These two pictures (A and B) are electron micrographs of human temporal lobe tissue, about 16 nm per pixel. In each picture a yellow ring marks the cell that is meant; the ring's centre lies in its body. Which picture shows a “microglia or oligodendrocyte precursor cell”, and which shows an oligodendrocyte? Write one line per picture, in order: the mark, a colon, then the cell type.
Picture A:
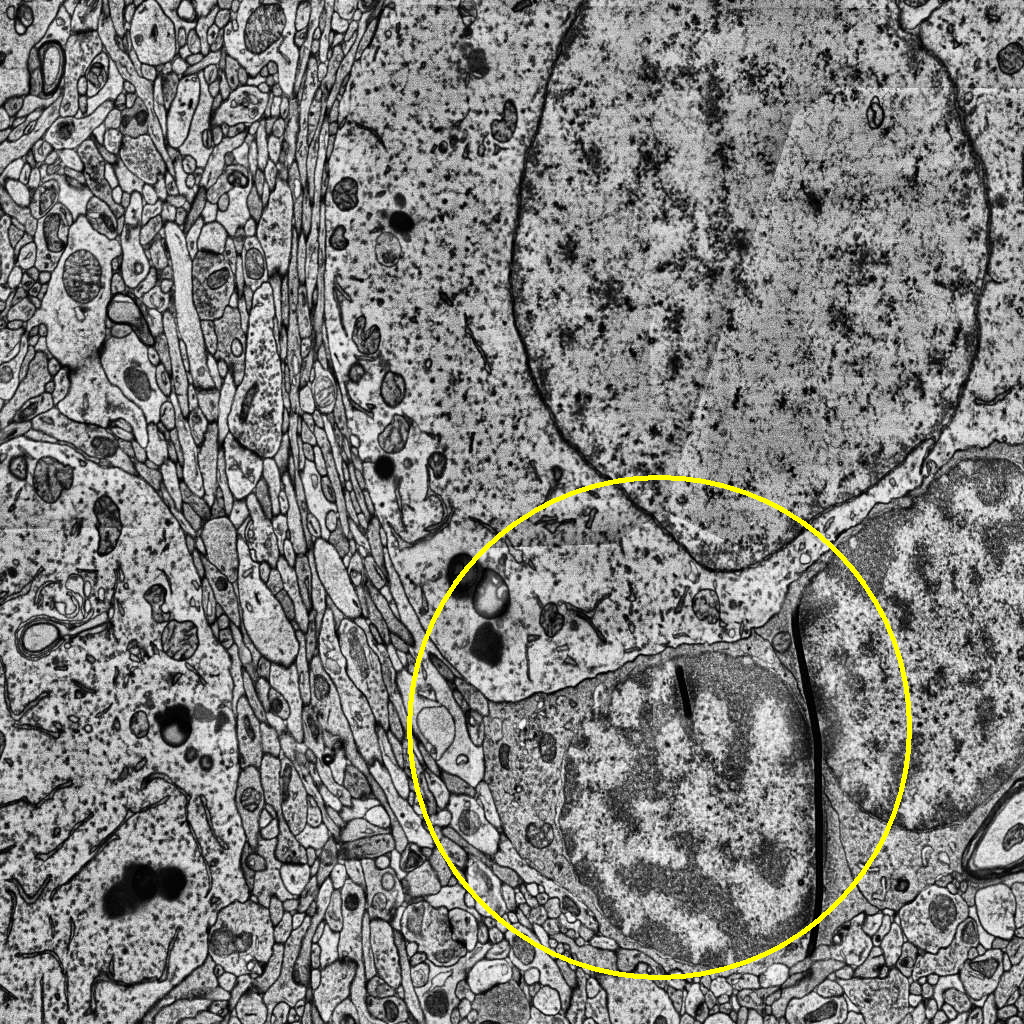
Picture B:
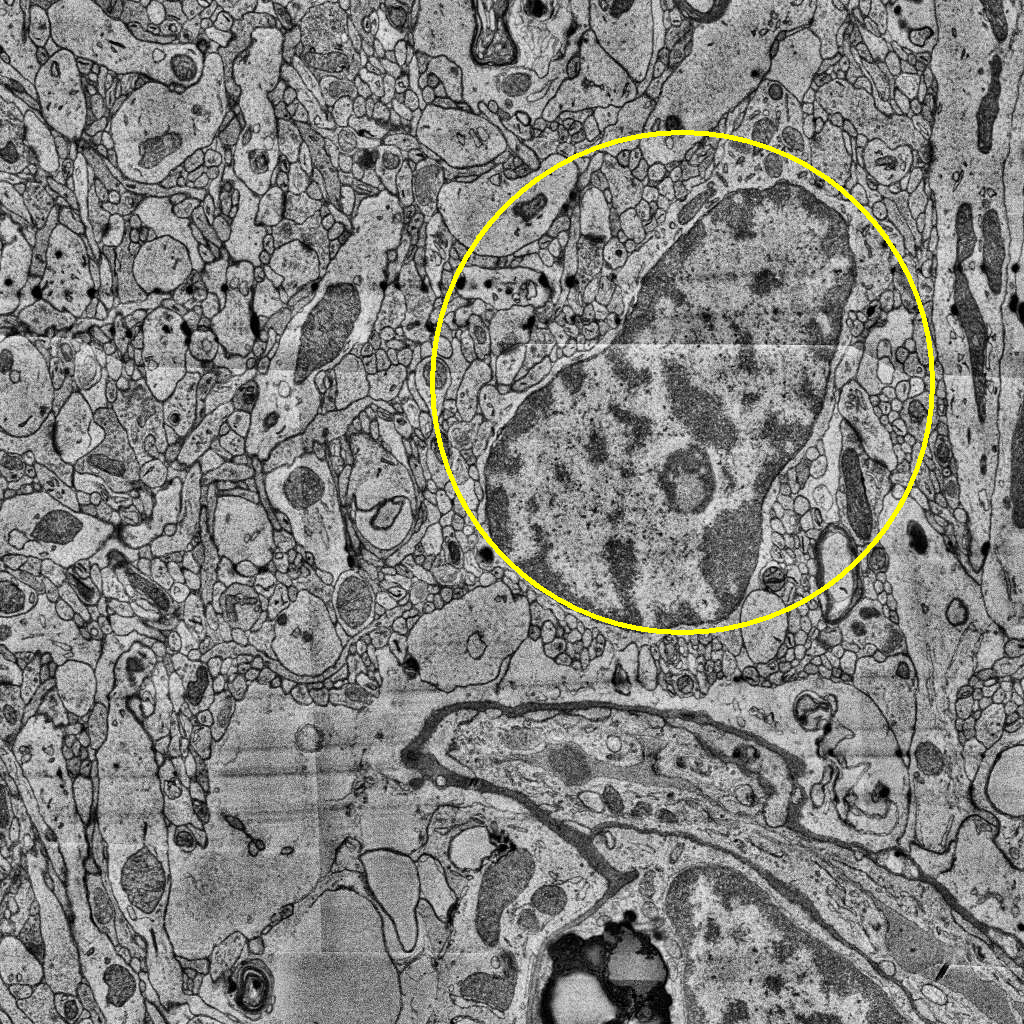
A: oligodendrocyte
B: microglia or oligodendrocyte precursor cell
